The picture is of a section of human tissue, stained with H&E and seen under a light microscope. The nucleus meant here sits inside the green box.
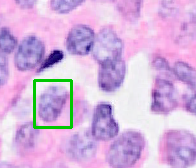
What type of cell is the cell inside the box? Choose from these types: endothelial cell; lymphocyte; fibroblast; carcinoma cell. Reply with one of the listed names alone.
carcinoma cell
